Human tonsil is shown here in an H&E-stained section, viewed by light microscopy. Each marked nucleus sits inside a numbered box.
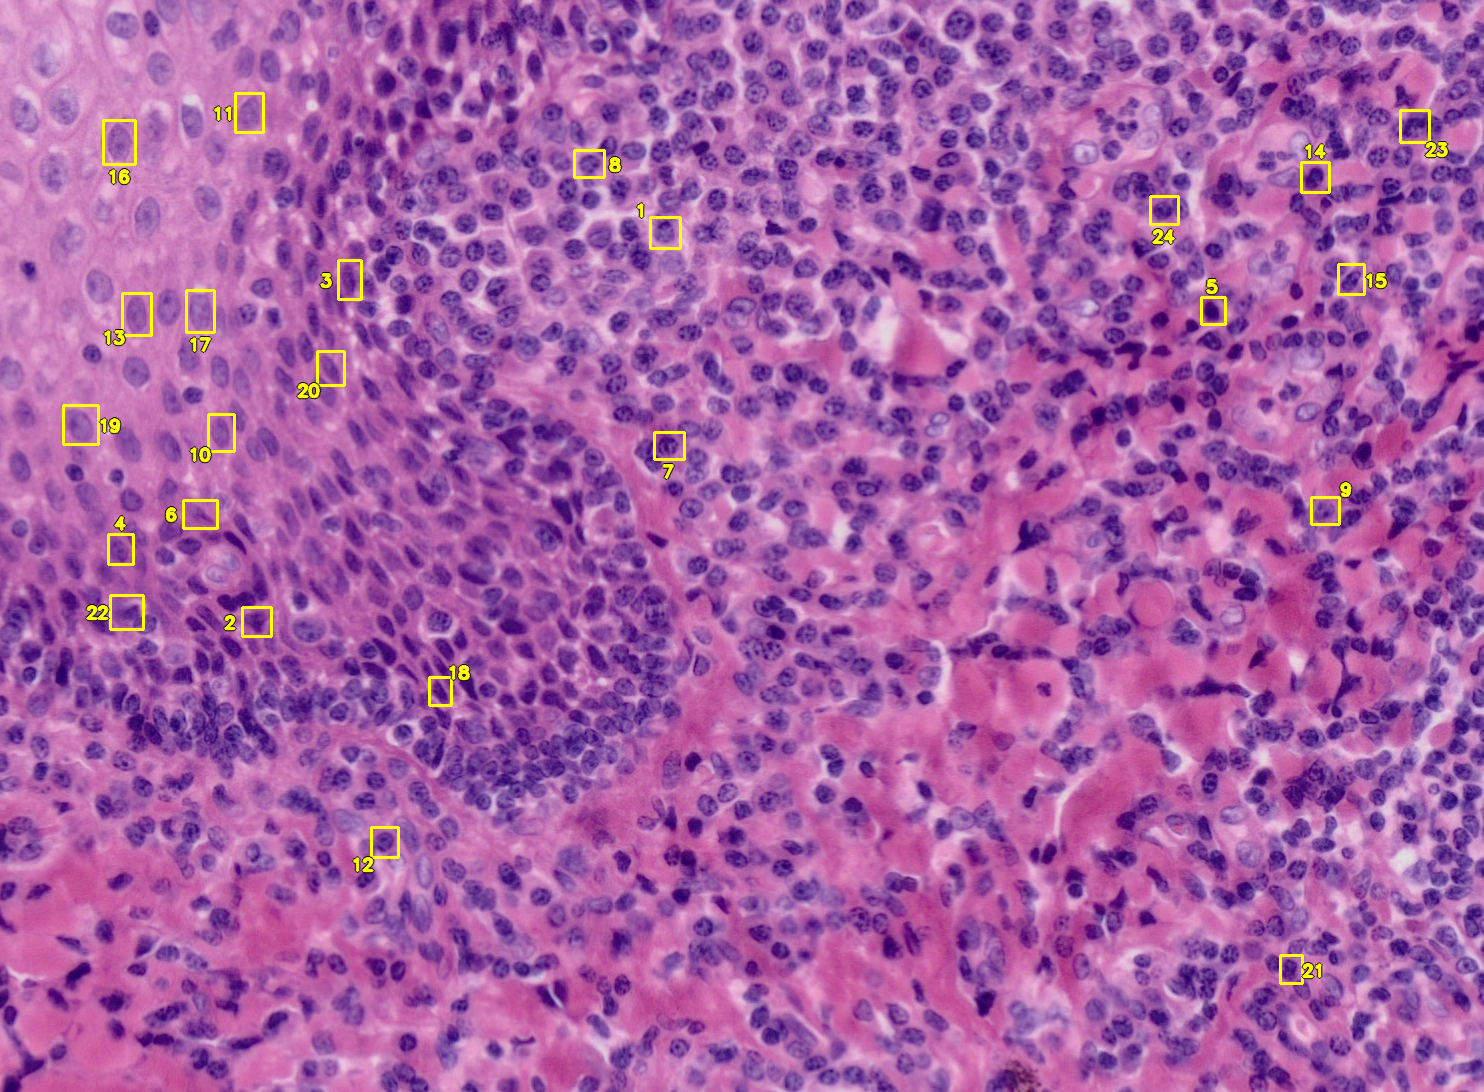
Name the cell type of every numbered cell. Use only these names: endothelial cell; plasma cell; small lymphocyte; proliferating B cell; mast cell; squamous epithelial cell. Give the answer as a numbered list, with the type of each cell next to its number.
1. plasma cell
2. squamous epithelial cell
3. squamous epithelial cell
4. squamous epithelial cell
5. plasma cell
6. squamous epithelial cell
7. plasma cell
8. plasma cell
9. plasma cell
10. squamous epithelial cell
11. squamous epithelial cell
12. plasma cell
13. squamous epithelial cell
14. plasma cell
15. plasma cell
16. squamous epithelial cell
17. squamous epithelial cell
18. squamous epithelial cell
19. squamous epithelial cell
20. squamous epithelial cell
21. plasma cell
22. squamous epithelial cell
23. plasma cell
24. plasma cell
